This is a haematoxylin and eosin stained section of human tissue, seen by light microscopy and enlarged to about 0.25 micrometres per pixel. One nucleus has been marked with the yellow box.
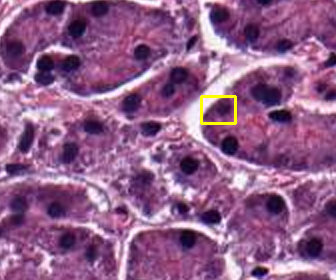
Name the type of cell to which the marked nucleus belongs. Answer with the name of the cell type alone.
pancreatic acinar cell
